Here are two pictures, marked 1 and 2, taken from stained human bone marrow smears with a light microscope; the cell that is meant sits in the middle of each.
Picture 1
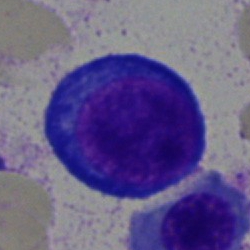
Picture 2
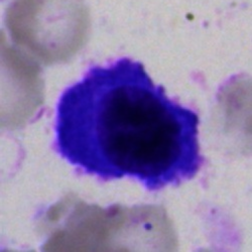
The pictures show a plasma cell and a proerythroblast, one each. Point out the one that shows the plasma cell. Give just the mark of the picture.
2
